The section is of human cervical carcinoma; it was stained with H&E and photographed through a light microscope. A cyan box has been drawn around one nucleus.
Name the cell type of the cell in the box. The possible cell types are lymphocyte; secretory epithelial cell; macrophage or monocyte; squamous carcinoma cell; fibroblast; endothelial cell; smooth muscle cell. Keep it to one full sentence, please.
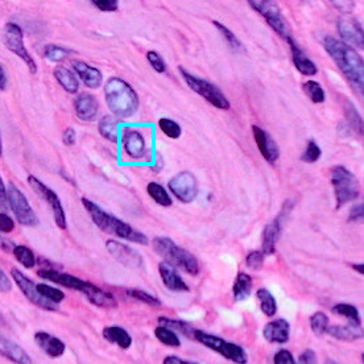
The cell type represented by the cell in the box is that of an endothelial cell.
